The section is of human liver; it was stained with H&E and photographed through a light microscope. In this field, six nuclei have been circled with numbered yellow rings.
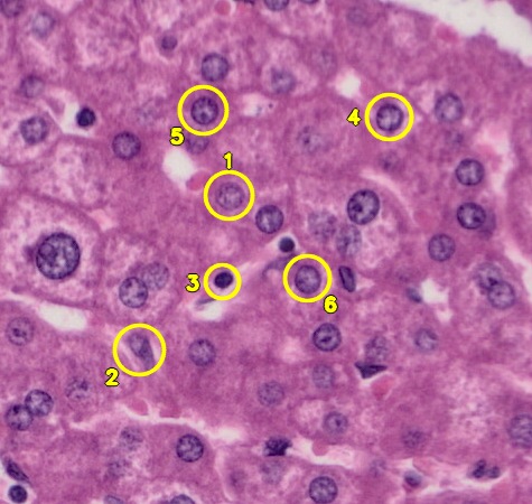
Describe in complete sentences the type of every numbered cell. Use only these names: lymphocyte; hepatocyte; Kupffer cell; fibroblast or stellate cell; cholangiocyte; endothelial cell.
Cells 1, 4, 5 and 6 are hepatocytes. Cell 2 is a Kupffer cell. Cell 3 is a lymphocyte.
